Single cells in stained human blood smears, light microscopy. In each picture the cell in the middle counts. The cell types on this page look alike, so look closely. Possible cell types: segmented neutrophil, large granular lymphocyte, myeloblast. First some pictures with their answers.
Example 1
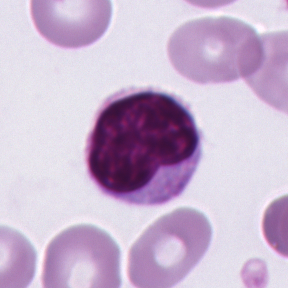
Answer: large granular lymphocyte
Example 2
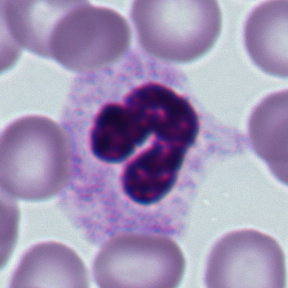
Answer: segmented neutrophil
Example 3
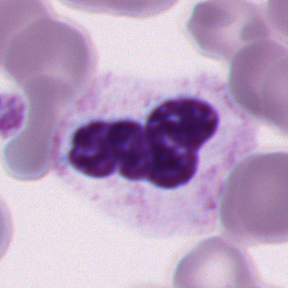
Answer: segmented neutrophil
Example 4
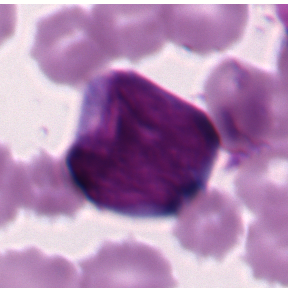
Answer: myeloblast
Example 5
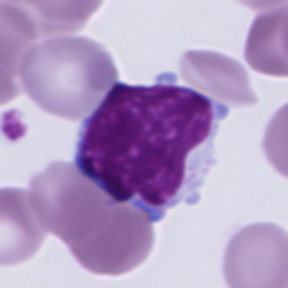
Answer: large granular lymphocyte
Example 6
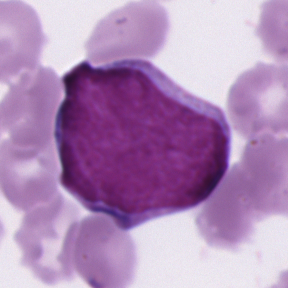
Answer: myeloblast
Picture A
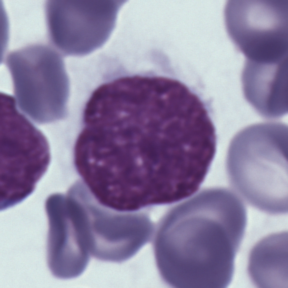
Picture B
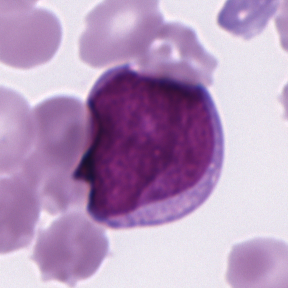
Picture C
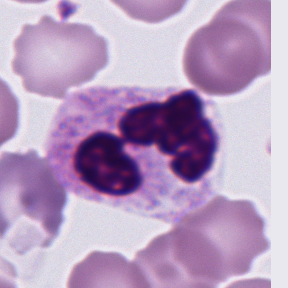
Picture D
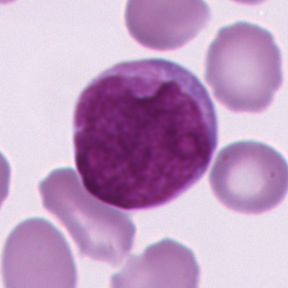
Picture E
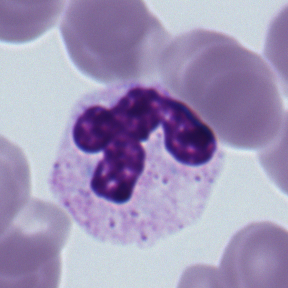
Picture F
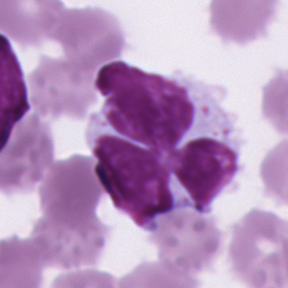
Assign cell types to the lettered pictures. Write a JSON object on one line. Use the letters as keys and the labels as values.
{"A": "myeloblast", "B": "myeloblast", "C": "segmented neutrophil", "D": "myeloblast", "E": "segmented neutrophil", "F": "large granular lymphocyte"}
